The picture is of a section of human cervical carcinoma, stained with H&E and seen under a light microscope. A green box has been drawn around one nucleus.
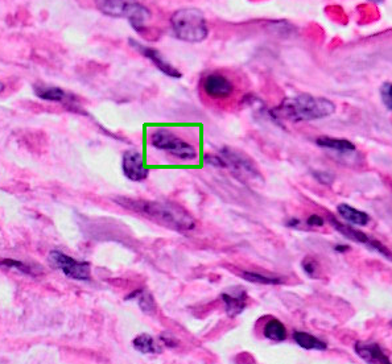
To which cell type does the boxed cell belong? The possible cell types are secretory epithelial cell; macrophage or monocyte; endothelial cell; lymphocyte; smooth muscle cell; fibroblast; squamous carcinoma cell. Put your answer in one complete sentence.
The boxed cell is a macrophage or monocyte.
